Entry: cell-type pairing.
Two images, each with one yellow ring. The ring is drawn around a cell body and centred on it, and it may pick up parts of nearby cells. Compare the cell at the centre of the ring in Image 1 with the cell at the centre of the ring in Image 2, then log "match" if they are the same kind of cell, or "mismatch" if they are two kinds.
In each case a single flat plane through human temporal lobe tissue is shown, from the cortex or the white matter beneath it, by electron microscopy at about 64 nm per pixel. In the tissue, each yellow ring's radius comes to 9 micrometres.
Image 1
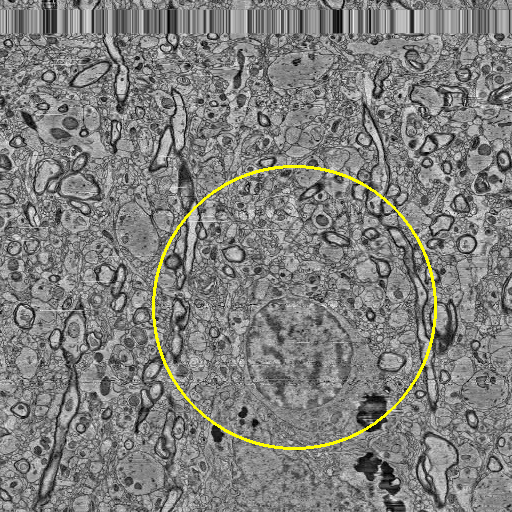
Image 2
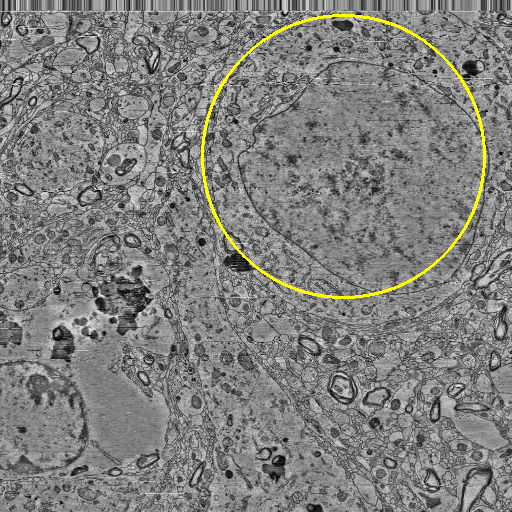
mismatch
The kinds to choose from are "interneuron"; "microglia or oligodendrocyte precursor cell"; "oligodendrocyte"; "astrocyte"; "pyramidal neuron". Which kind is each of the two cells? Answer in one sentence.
Of the two, the first cell is an oligodendrocyte and the second cell is a pyramidal neuron.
